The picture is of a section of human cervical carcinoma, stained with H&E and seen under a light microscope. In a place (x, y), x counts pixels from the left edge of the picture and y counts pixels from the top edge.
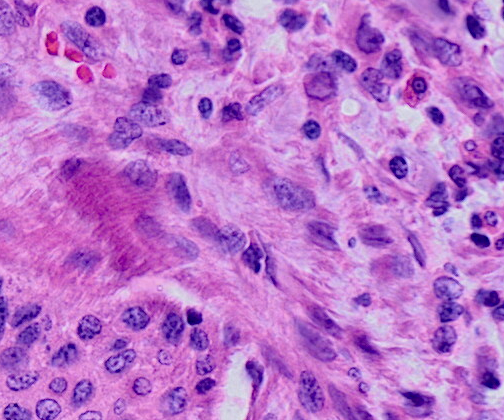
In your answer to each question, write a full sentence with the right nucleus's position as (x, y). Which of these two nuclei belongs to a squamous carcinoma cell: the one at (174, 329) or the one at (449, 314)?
The nucleus that belongs to a squamous carcinoma cell is located at (174, 329).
